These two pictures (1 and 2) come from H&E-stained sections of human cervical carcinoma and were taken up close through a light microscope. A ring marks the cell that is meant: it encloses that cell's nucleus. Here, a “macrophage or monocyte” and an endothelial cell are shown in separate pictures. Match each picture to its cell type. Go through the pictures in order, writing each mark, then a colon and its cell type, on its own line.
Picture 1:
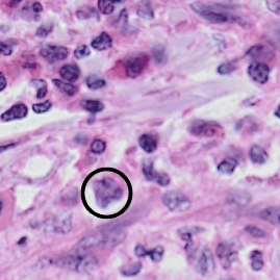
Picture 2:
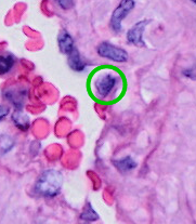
1: macrophage or monocyte
2: endothelial cell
